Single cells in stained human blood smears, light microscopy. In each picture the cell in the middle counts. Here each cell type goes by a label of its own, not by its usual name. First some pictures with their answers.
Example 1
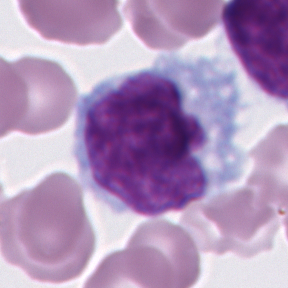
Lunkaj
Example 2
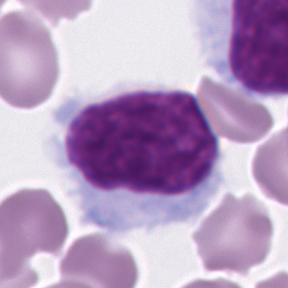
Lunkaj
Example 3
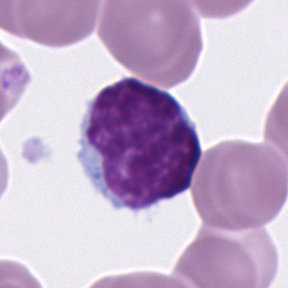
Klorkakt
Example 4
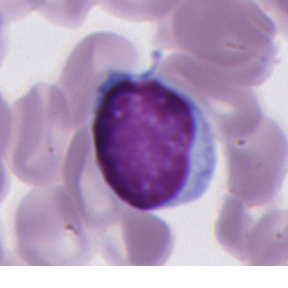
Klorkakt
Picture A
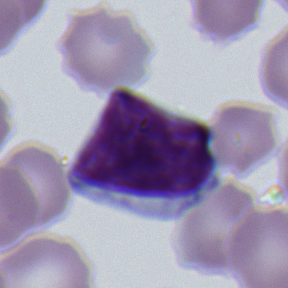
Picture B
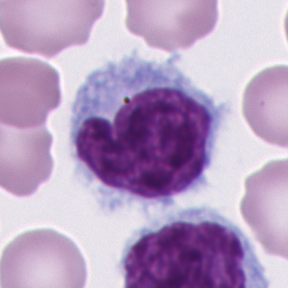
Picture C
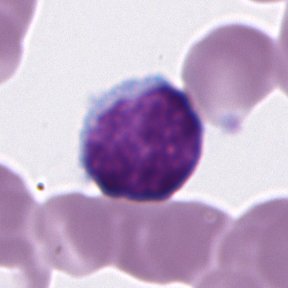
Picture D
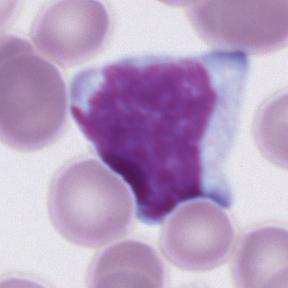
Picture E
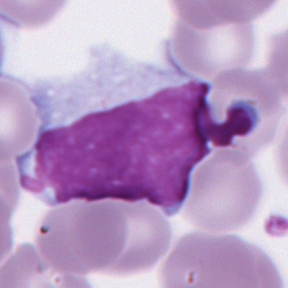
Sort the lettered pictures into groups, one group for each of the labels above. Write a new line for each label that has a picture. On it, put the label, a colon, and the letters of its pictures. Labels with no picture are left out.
Lunkaj: B
Klorkakt: A, C, D, E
